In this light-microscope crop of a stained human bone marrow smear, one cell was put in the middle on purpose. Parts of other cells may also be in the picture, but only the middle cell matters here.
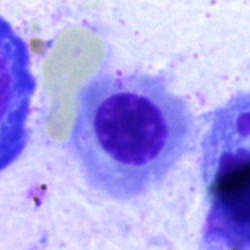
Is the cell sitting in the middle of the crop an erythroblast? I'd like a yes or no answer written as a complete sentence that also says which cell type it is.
Yes, the cell at the center of the crop is an erythroblast.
